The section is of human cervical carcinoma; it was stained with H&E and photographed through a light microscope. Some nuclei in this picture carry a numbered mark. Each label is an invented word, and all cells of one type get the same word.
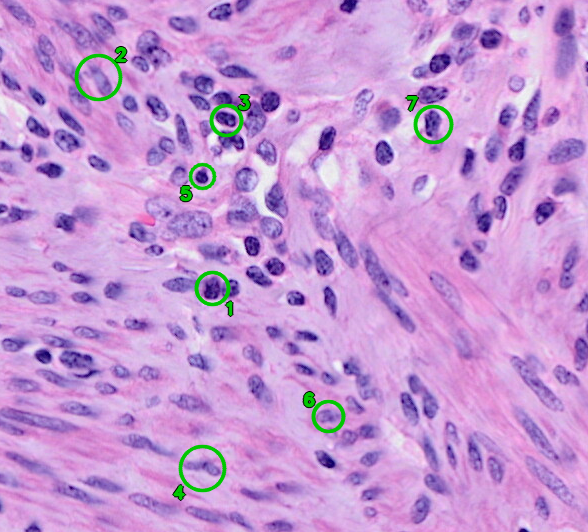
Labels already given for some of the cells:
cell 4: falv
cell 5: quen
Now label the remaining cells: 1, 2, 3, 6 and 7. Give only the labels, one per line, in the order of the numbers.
quen
falv
quen
falv
quen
